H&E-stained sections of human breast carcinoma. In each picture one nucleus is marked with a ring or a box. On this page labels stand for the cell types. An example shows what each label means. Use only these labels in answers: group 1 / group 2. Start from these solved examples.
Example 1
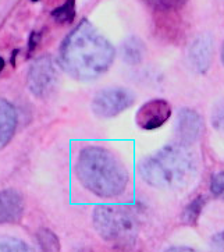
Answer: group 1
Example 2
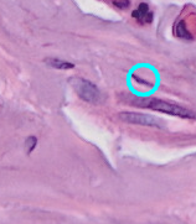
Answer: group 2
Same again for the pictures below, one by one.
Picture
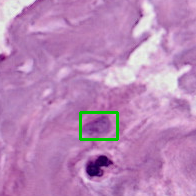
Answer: group 2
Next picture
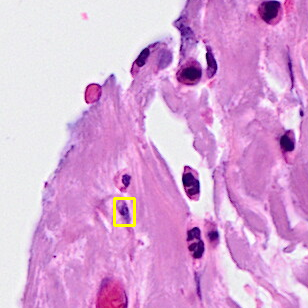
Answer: group 2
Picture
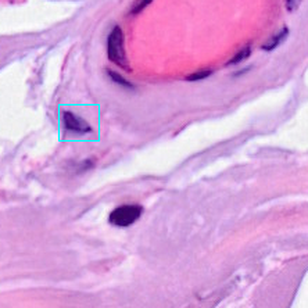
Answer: group 2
